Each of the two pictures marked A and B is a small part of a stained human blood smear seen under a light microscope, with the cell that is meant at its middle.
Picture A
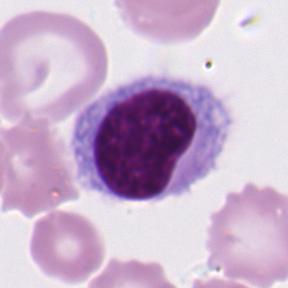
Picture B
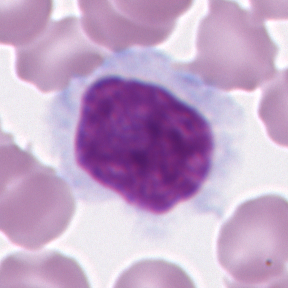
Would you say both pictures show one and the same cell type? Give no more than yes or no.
yes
